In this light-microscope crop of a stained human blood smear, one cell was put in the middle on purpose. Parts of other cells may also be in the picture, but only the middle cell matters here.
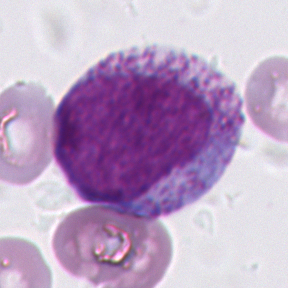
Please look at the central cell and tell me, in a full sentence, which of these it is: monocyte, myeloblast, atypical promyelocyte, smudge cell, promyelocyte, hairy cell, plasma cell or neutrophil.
The centered cell in this crop is a promyelocyte.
